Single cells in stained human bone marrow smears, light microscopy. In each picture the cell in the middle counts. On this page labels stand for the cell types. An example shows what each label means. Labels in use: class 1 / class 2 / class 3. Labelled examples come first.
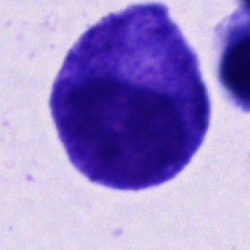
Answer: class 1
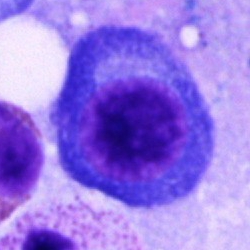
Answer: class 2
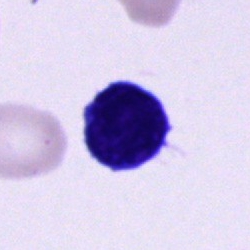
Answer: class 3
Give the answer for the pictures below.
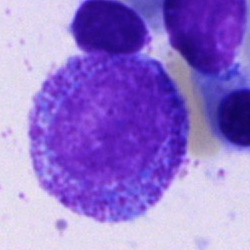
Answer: class 1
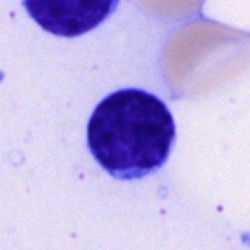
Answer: class 3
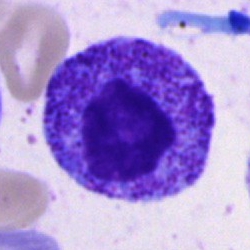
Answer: class 1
